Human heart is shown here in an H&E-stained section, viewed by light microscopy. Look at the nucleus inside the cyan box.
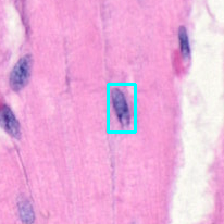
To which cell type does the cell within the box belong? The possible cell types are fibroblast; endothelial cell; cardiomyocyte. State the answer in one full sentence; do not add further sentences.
At the level of cell identity, the cell within the box is an endothelial cell.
